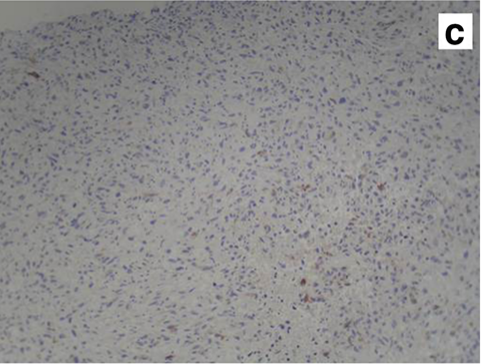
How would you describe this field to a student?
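This shows the same spindle-cell tumour, its cells having elongated blue nuclei in a pale background. Most cells are unstained. Only scattered cells carry brown staining, and these lie mostly toward the lower right of the field.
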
